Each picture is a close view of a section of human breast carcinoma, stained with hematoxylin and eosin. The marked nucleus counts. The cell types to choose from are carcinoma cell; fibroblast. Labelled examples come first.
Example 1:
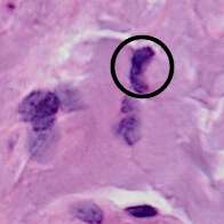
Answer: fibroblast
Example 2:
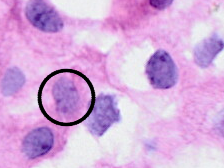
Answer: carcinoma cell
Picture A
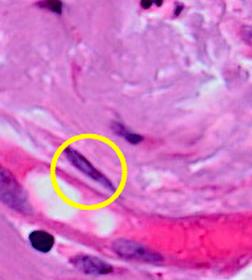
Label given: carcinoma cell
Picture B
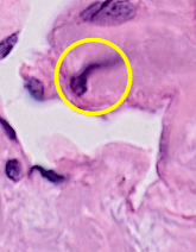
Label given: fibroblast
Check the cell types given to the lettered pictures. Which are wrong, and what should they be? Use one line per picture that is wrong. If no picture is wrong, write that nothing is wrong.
A is labelled carcinoma cell; correct label: fibroblast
